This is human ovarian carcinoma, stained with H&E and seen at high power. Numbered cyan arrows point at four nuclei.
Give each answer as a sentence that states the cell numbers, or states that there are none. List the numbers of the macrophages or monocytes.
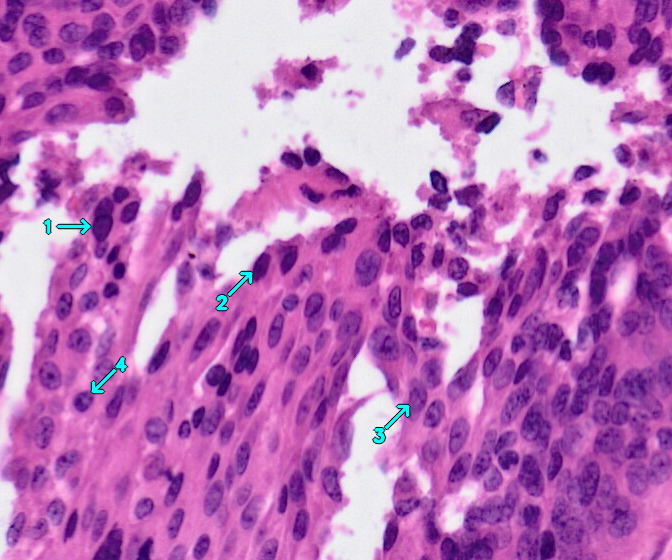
Only cell 4 qualifies as a macrophage or monocyte among the numbered cells.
